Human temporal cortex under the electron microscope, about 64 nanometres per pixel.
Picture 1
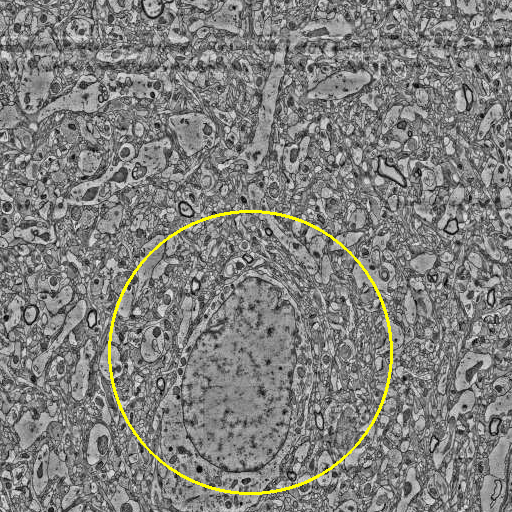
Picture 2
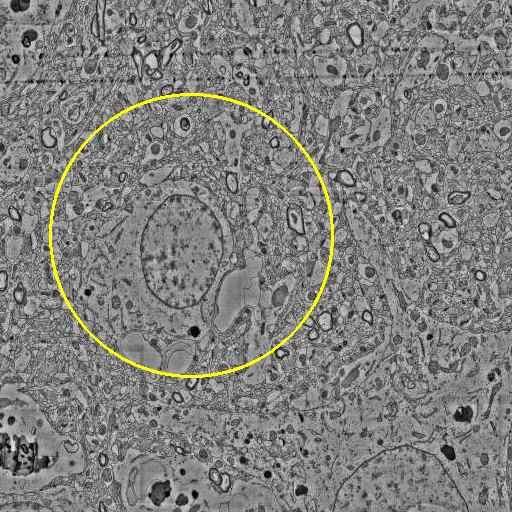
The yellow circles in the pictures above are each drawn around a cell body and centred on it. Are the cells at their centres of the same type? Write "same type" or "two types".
two types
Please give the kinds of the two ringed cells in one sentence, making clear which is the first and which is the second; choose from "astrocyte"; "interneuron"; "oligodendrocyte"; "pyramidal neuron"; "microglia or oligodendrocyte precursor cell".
In the second picture the ringed cell is a pyramidal neuron; in the first it is an interneuron.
